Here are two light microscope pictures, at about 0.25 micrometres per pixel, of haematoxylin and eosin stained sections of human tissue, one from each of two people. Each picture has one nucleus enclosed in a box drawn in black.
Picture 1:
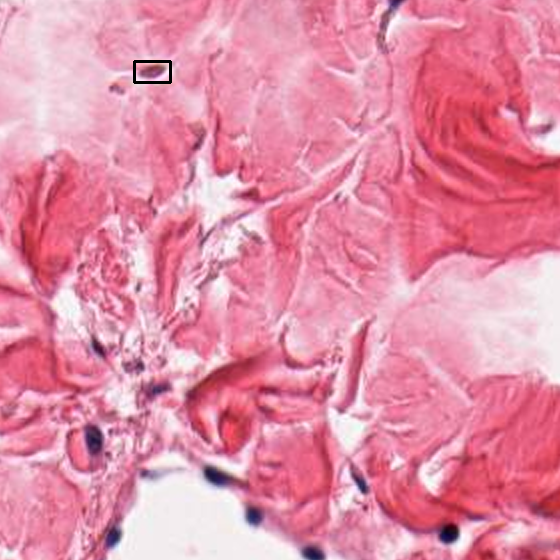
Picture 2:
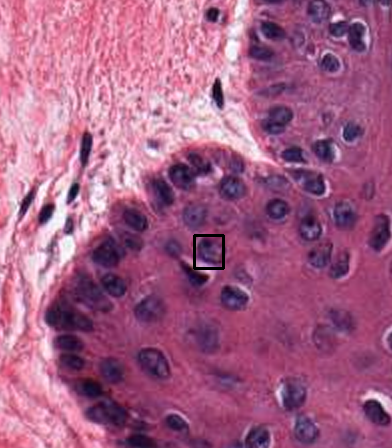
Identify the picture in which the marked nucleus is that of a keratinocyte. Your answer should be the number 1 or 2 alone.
2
